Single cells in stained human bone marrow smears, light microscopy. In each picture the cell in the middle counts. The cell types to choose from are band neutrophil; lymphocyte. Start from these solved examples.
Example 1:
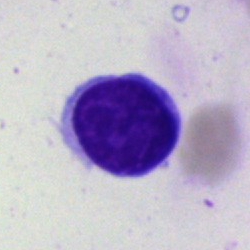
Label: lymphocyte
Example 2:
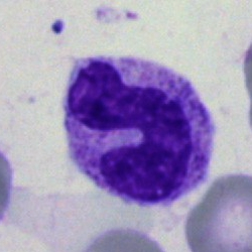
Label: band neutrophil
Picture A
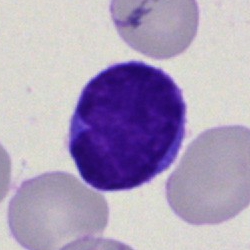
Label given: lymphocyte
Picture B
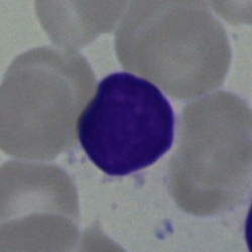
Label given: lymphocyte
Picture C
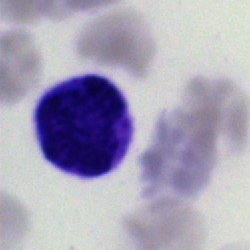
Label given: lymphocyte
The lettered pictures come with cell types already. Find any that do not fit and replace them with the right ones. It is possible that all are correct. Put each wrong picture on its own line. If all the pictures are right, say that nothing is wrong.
All labels are correct.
